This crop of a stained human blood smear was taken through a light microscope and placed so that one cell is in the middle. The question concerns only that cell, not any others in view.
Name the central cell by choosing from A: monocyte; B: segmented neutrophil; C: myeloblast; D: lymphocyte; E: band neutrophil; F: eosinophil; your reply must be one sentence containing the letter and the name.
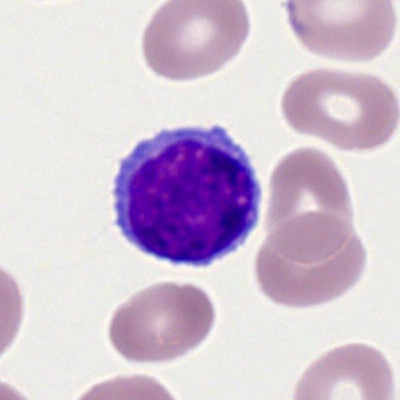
In this crop the middle cell is a lymphocyte, so option D is the correct answer.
